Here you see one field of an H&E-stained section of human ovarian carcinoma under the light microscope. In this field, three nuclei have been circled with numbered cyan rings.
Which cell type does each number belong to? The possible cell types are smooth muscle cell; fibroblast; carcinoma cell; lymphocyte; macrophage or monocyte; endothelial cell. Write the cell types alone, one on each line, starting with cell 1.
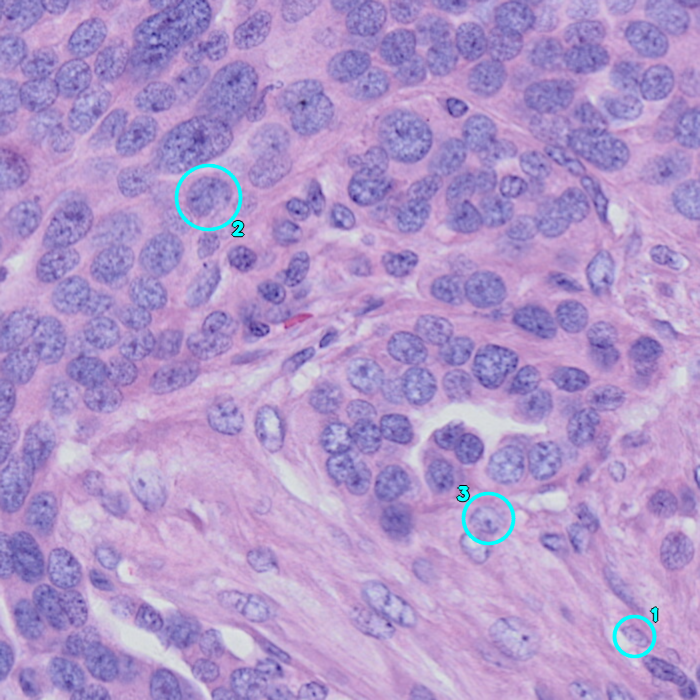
fibroblast
carcinoma cell
fibroblast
